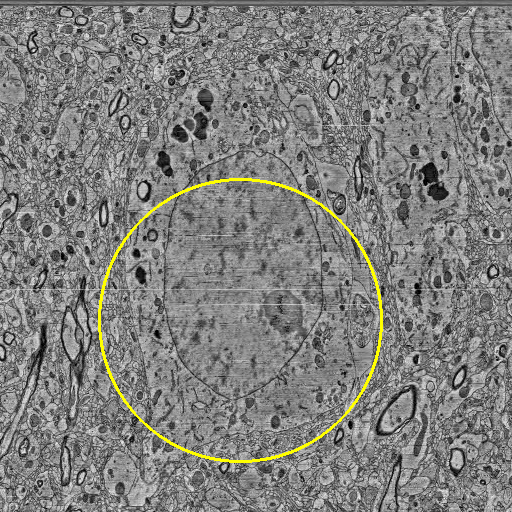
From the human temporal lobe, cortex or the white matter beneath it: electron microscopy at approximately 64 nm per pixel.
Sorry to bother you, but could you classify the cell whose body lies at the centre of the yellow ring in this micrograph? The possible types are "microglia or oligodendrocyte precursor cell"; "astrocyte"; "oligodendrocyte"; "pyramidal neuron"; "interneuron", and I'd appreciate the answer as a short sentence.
The ringed cell body is that of a pyramidal neuron.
